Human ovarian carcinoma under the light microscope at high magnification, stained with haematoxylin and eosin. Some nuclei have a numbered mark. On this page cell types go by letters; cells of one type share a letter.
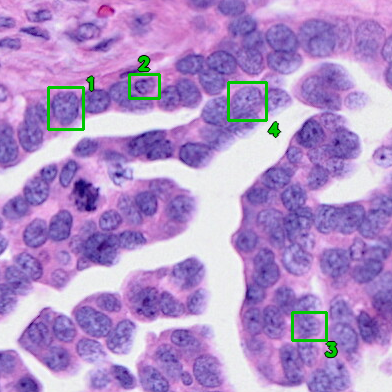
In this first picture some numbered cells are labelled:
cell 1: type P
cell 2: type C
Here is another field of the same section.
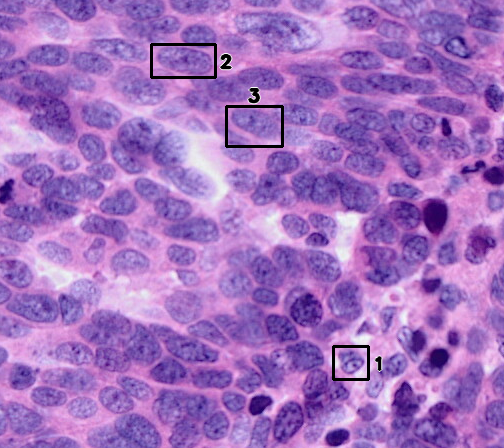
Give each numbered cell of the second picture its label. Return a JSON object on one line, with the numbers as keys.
{"1": "type C", "2": "type P", "3": "type P"}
